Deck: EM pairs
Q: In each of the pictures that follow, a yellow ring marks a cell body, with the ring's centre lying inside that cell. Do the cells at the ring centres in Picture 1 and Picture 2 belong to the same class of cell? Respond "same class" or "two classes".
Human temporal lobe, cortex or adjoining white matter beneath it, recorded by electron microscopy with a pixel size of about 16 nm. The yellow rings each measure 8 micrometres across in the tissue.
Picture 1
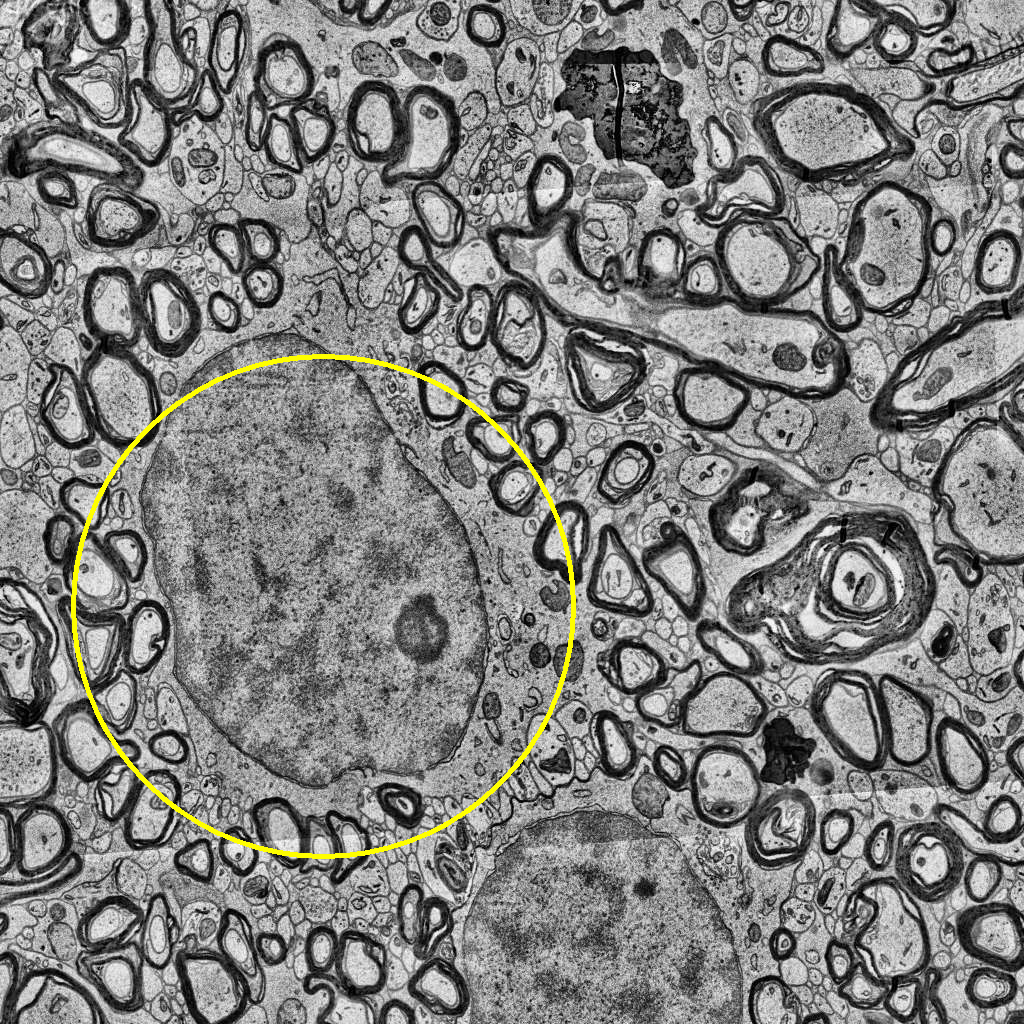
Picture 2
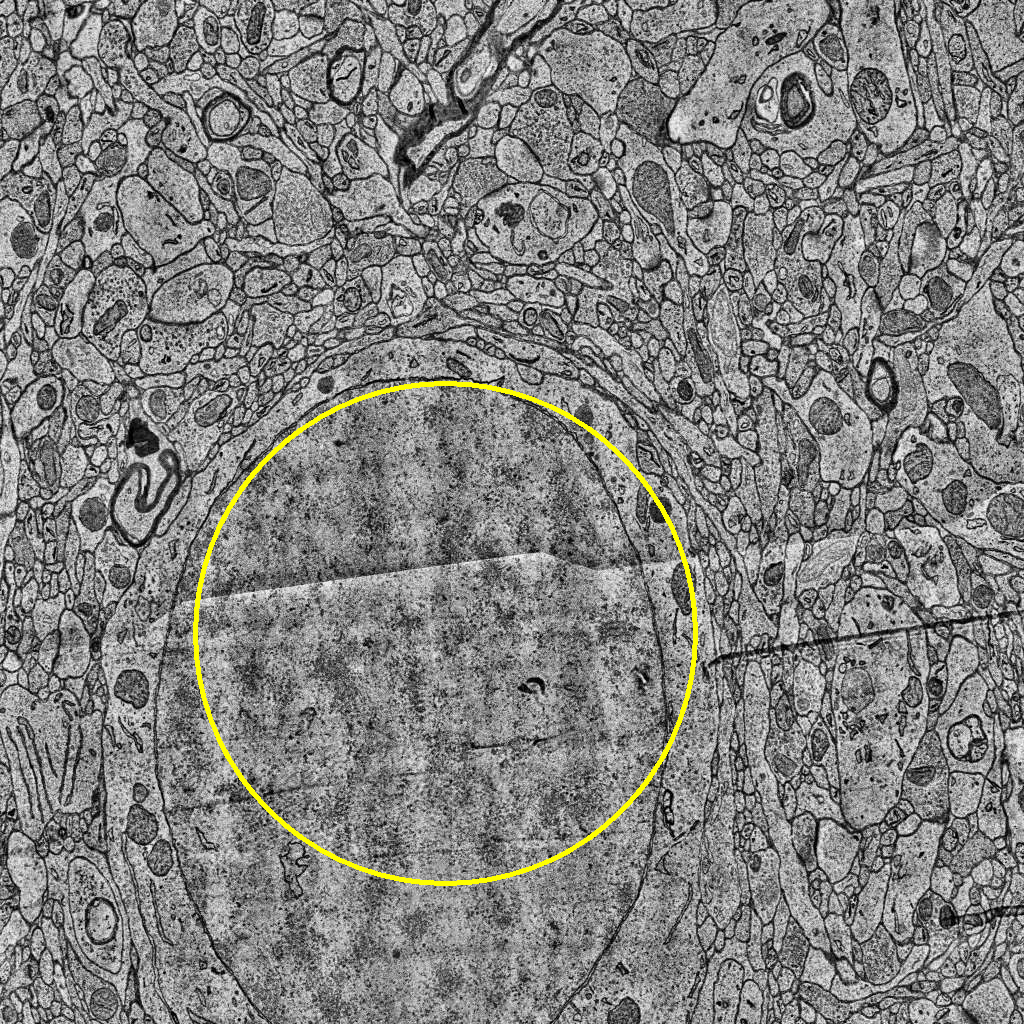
two classes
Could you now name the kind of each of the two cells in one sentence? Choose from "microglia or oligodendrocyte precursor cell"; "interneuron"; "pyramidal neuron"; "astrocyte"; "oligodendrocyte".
In the first picture we have an oligodendrocyte, and in the second, a pyramidal neuron.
